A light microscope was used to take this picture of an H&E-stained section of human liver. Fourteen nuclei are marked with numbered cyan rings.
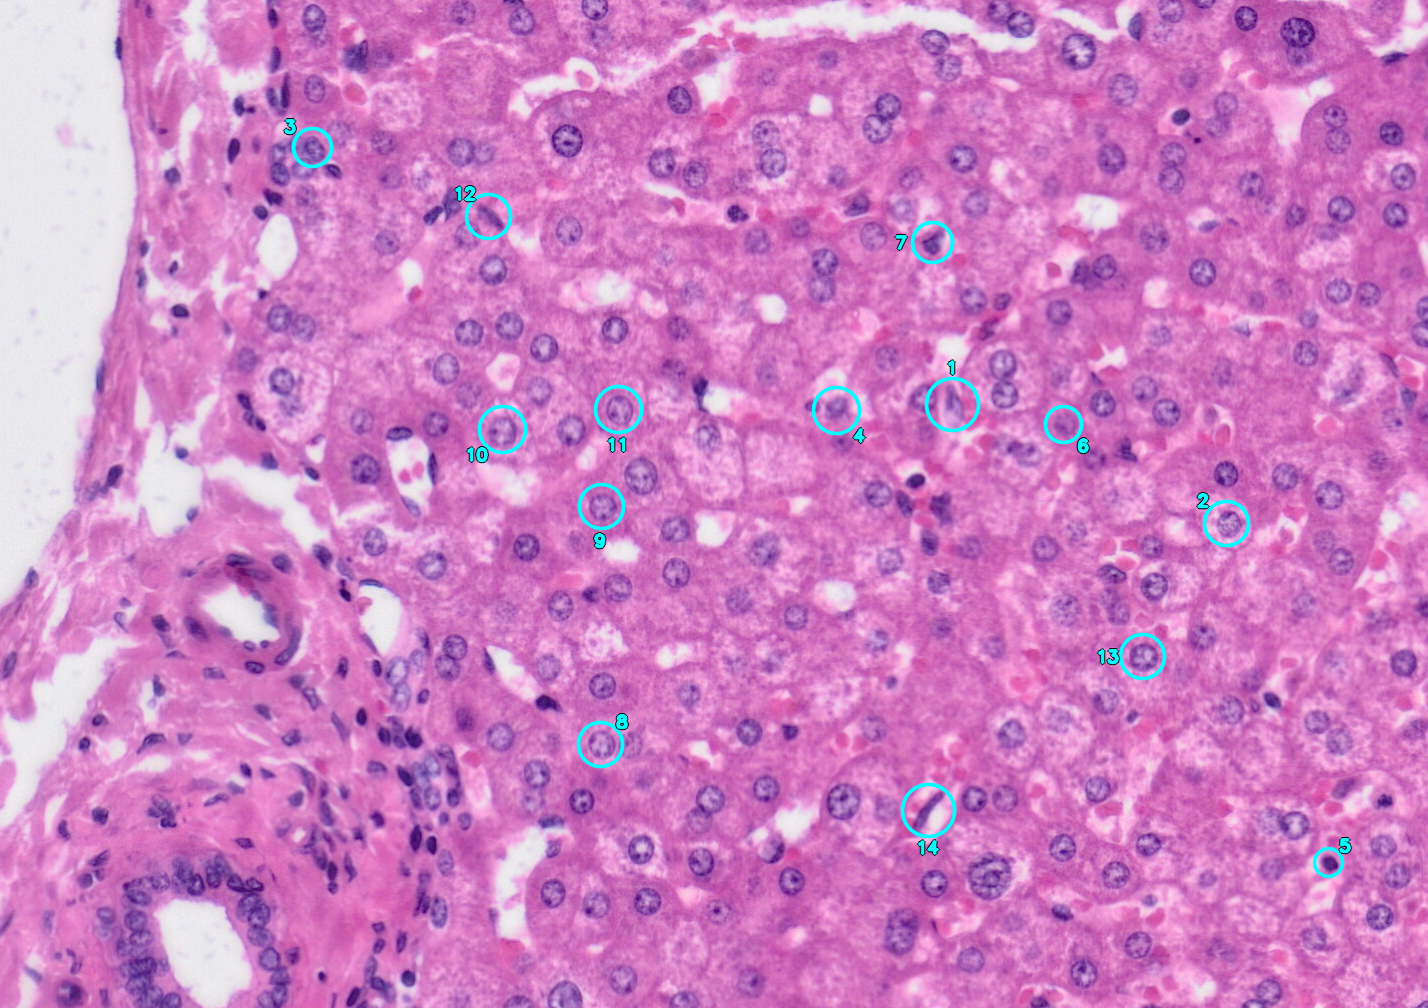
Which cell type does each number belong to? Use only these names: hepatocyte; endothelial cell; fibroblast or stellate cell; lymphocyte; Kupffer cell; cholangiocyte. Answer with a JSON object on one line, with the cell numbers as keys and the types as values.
{"1": "Kupffer cell", "2": "hepatocyte", "3": "cholangiocyte", "4": "Kupffer cell", "5": "lymphocyte", "6": "hepatocyte", "7": "endothelial cell", "8": "hepatocyte", "9": "hepatocyte", "10": "hepatocyte", "11": "hepatocyte", "12": "fibroblast or stellate cell", "13": "hepatocyte", "14": "Kupffer cell"}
